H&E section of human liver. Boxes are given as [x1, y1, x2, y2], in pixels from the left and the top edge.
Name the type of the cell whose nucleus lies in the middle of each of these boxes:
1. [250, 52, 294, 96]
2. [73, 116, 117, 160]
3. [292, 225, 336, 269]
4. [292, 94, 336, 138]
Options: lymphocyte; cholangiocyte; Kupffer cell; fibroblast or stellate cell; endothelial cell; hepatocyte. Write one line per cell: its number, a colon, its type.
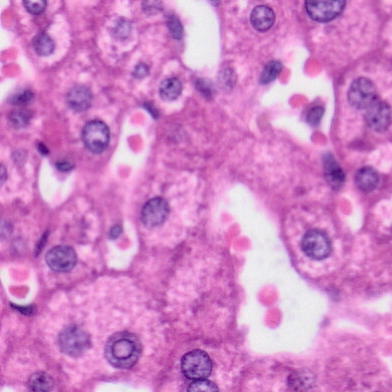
1: Kupffer cell
2: hepatocyte
3: hepatocyte
4: Kupffer cell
